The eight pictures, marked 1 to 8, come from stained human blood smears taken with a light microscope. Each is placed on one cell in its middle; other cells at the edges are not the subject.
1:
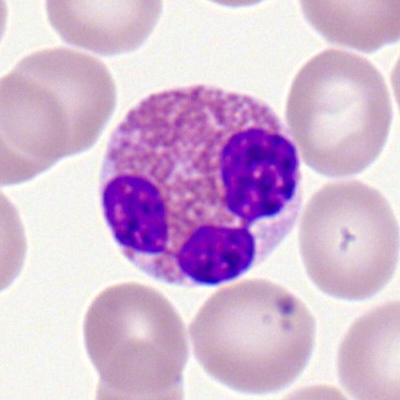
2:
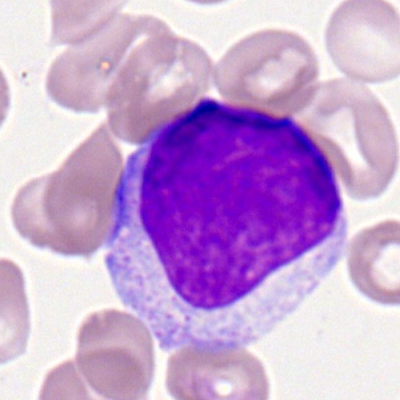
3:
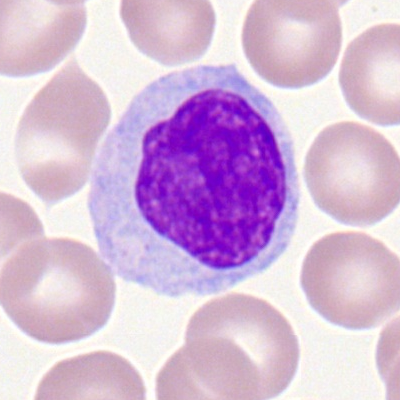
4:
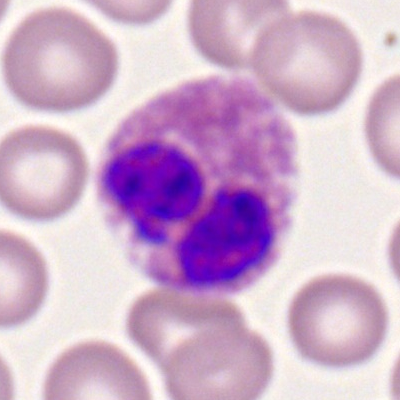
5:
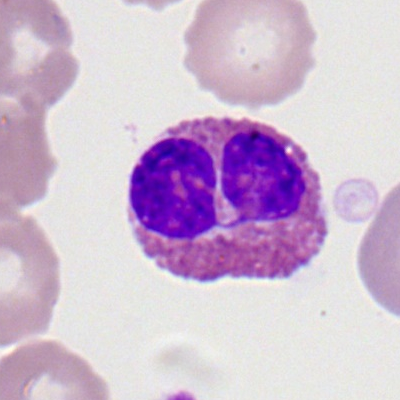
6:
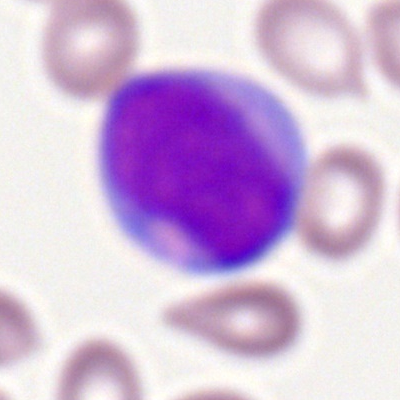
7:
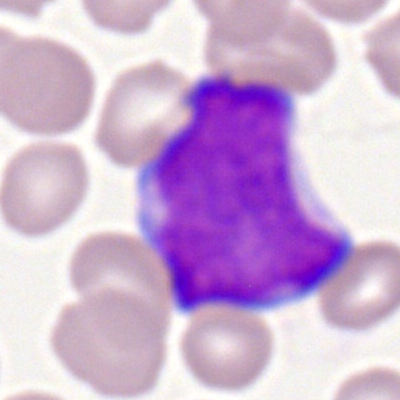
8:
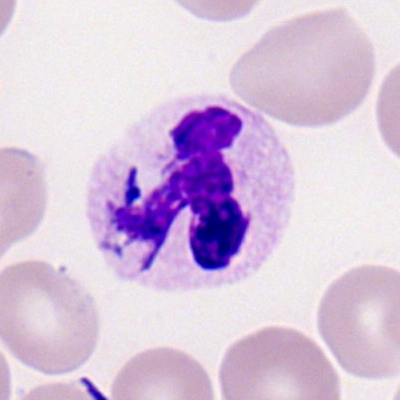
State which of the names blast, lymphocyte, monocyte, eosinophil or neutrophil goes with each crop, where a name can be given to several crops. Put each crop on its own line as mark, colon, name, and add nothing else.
1: eosinophil
2: blast
3: monocyte
4: eosinophil
5: eosinophil
6: blast
7: blast
8: neutrophil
